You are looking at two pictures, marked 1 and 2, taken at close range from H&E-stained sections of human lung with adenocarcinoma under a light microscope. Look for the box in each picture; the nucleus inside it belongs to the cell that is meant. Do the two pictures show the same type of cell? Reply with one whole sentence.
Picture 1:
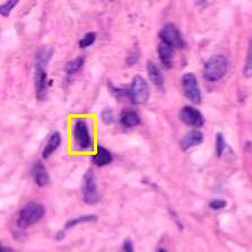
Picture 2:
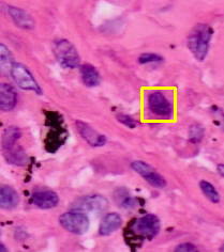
Yes, the two pictures both show plasma cells.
